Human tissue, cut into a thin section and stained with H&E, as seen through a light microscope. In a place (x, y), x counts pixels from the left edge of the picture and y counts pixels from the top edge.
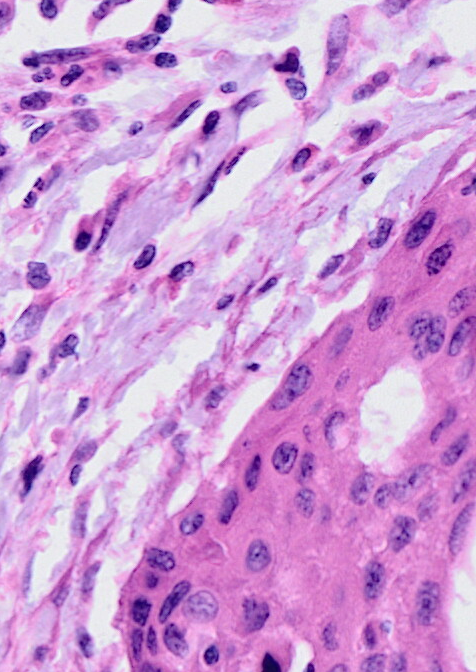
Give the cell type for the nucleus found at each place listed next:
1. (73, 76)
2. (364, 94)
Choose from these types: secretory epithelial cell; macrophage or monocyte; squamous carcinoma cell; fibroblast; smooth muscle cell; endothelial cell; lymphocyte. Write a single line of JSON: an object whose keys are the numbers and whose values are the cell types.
{"1": "lymphocyte", "2": "macrophage or monocyte"}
